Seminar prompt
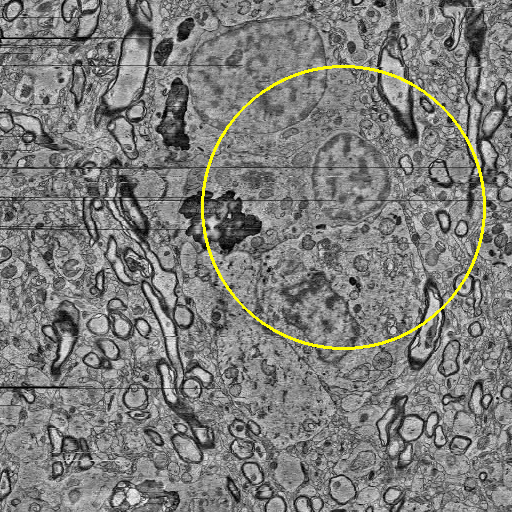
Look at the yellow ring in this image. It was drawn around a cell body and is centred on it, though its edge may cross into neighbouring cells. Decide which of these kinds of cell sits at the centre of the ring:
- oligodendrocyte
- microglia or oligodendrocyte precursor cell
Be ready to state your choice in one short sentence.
The kind of cell at the ring's centre is an oligodendrocyte.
